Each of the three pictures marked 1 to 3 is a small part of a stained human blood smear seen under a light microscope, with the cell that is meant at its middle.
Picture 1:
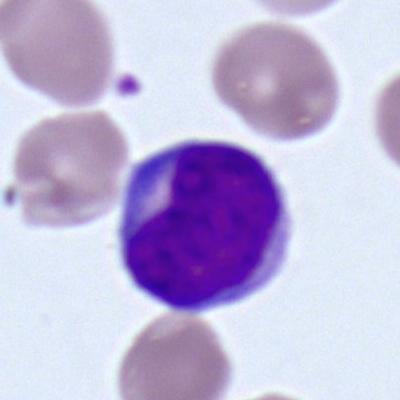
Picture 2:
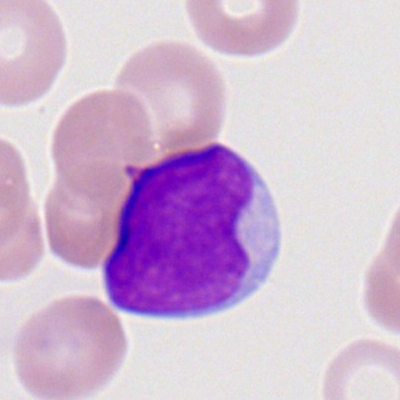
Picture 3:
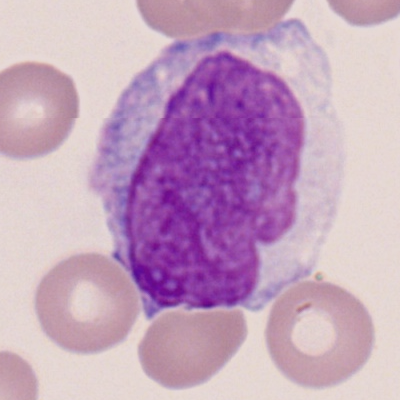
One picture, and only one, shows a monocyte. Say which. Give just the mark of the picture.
3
